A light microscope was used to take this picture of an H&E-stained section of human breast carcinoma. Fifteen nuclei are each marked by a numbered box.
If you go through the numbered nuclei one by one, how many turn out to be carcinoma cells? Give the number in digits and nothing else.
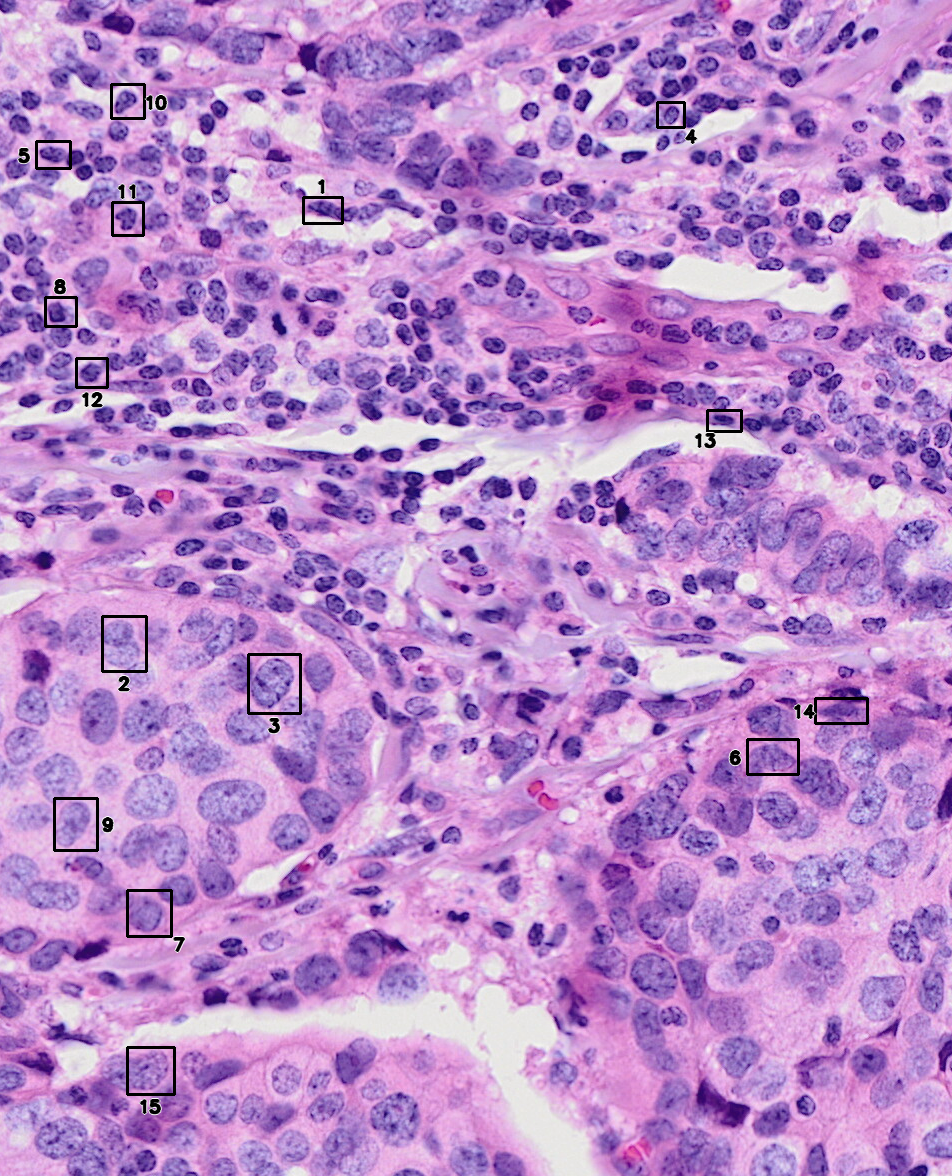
7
